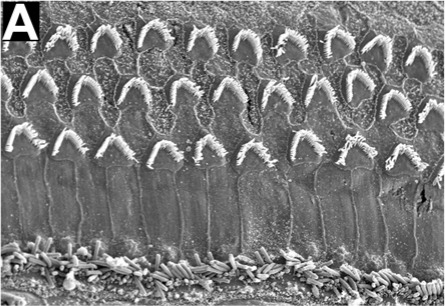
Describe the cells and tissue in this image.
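Apical surface of the organ of Corti showing three regular rows of outer hair cells, each bearing a V-shaped hair bundle, separated by polygonal supporting cell surfaces. Beneath a smooth striated band lies the row of inner hair cells with rows of stereocilia.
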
